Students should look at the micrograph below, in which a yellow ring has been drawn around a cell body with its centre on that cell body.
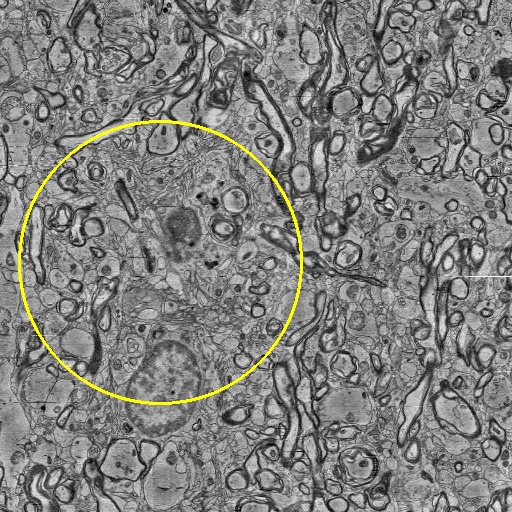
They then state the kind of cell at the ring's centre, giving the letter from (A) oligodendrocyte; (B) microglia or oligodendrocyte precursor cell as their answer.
B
